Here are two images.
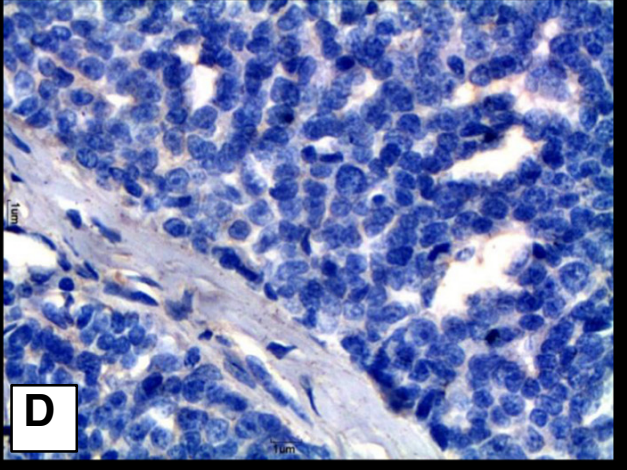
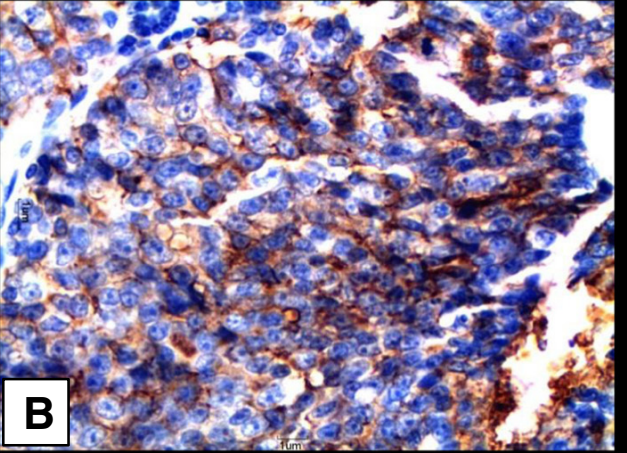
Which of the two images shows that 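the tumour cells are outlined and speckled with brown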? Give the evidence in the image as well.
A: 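The second image. First image: the densely packed tumour cells are blue only, without brown. Second image: brown stain runs along and between many of the packed tumour cells.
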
